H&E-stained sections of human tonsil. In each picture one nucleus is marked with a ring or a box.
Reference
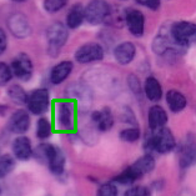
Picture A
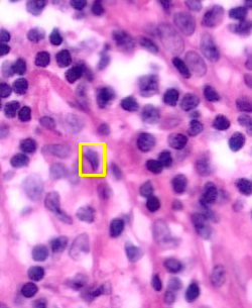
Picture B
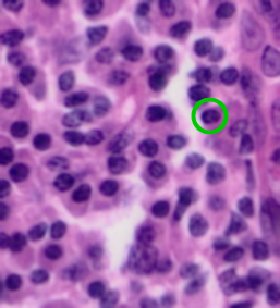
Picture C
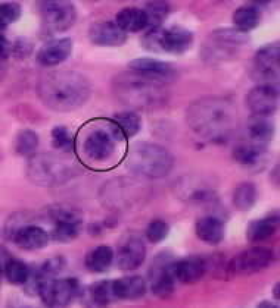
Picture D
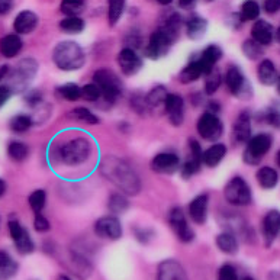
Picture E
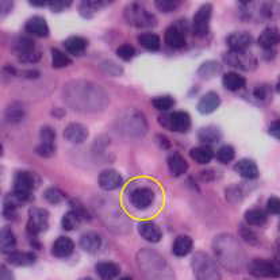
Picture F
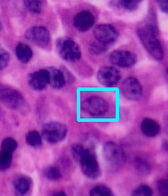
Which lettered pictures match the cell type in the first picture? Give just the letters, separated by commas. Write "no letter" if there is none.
A, C, D, E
